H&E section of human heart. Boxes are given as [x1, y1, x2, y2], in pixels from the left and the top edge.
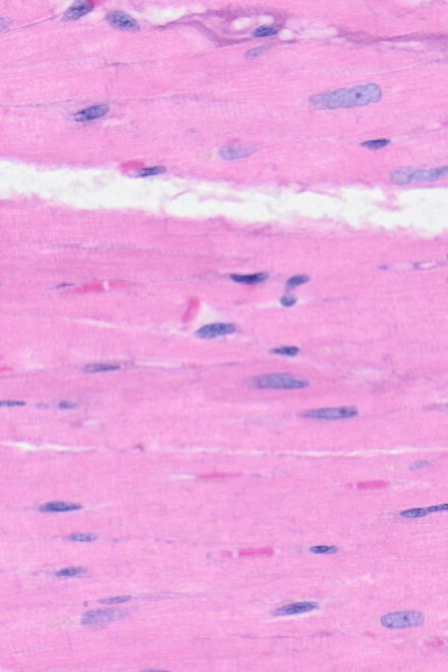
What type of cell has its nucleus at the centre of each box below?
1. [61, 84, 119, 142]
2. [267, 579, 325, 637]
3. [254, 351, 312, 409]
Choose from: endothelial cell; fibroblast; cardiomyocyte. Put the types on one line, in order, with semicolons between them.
endothelial cell; endothelial cell; cardiomyocyte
